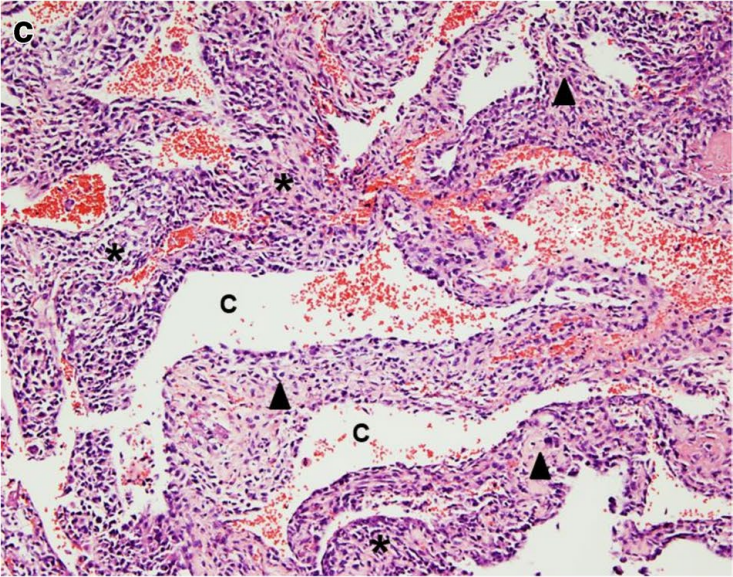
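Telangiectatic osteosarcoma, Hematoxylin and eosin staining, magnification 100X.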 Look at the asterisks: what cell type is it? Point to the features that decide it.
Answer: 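Malignant stromal cells. The asterisks lie on dense clusters of cells with dark purple, crowded nuclei. The cells are packed closely with little cytoplasm between them.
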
